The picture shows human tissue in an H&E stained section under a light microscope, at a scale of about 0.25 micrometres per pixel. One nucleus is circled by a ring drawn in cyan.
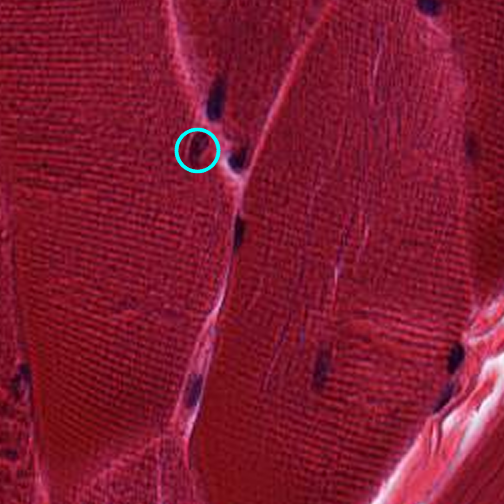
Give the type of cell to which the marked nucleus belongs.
skeletal muscle fibre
